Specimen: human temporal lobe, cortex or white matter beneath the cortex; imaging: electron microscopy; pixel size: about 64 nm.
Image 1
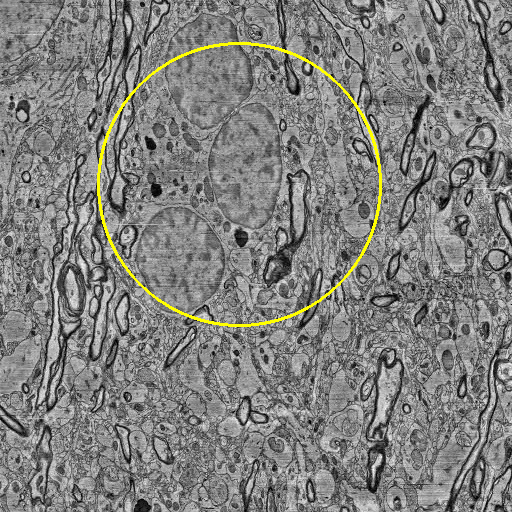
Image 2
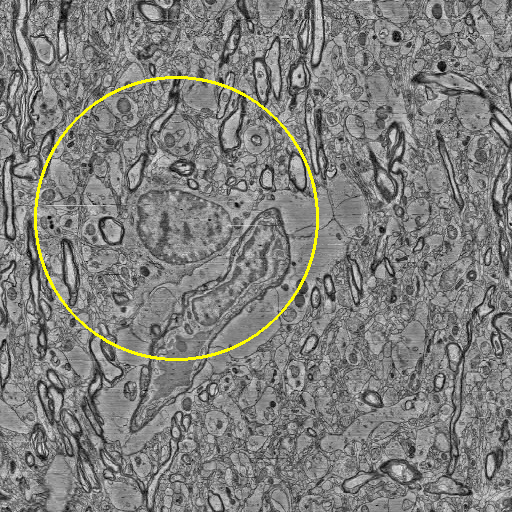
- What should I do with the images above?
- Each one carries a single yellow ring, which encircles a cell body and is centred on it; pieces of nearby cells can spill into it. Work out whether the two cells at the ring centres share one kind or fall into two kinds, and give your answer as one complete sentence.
The ring-centre cells of Image 1 and Image 2 share one kind.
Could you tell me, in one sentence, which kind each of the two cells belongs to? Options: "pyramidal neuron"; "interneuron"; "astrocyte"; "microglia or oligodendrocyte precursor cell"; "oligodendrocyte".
Both cells are the same kind, each one being an oligodendrocyte.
